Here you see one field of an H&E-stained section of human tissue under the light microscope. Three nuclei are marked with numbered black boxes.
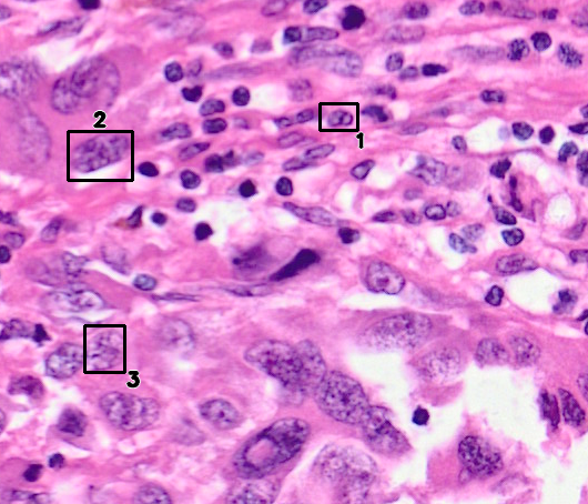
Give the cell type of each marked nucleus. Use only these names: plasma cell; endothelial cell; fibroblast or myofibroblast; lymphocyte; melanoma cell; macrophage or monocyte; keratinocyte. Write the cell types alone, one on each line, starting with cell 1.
lymphocyte
melanoma cell
melanoma cell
